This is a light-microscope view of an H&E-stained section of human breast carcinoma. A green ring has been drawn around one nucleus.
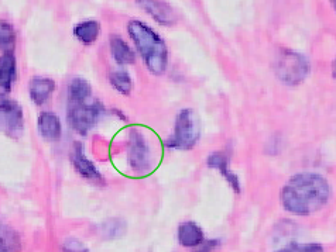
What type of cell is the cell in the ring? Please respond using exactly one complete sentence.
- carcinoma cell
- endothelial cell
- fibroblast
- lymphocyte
It is as an endothelial cell that the cell in the ring is recorded.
